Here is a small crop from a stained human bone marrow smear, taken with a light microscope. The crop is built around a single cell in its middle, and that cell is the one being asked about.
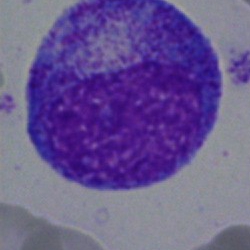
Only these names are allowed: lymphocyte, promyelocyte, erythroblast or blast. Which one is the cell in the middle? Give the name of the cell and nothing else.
promyelocyte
